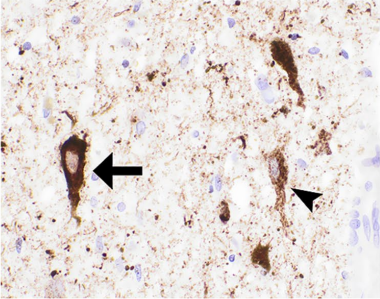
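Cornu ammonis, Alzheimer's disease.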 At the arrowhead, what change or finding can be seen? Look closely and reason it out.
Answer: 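An elongated neuron shows diffuse, lighter granular brown staining of its cell body and process. Its nucleus is still visible, unlike the solidly brown neuron nearby.
Conclusion: Pretangle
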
